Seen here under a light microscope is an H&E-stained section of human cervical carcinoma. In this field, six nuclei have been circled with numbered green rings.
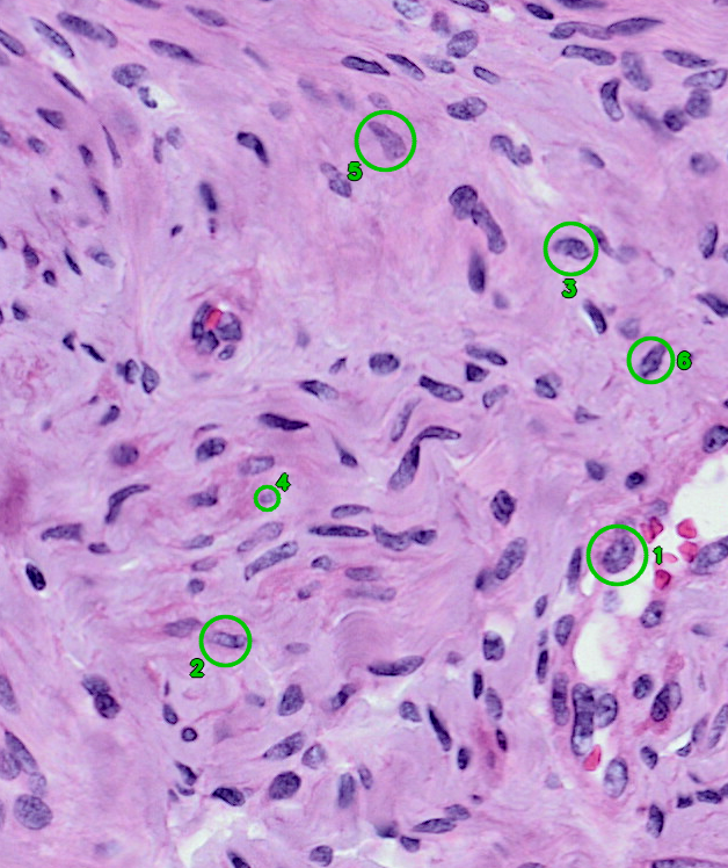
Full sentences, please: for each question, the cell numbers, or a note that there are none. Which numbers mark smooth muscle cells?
Cells numbered 2 and 4 belong to the group of smooth muscle cells.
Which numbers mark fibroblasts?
Within this tissue, the cells numbered 3, 5 and 6 are fibroblasts.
